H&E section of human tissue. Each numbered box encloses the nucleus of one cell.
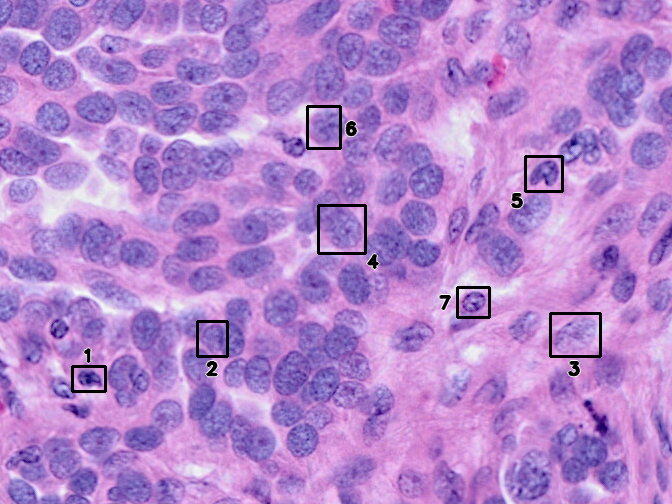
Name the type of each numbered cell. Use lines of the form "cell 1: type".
cell 1: lymphocyte
cell 2: carcinoma cell
cell 3: fibroblast
cell 4: carcinoma cell
cell 5: macrophage or monocyte
cell 6: carcinoma cell
cell 7: macrophage or monocyte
